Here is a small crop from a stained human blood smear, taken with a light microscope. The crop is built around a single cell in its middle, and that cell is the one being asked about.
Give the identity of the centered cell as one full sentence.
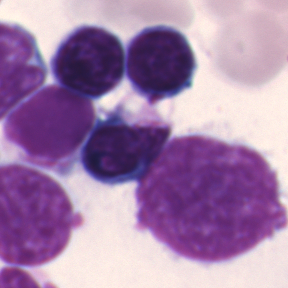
Looking at the middle of the crop, the cell there is a myeloblast.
